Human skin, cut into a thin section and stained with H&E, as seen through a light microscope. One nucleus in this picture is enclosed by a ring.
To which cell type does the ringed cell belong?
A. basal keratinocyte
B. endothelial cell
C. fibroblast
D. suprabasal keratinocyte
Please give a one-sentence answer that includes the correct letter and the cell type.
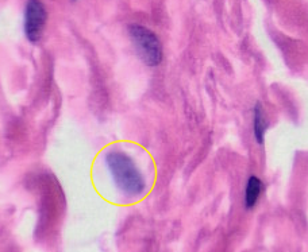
The statement that the ringed cell is a fibroblast corresponds to option C, the correct one.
